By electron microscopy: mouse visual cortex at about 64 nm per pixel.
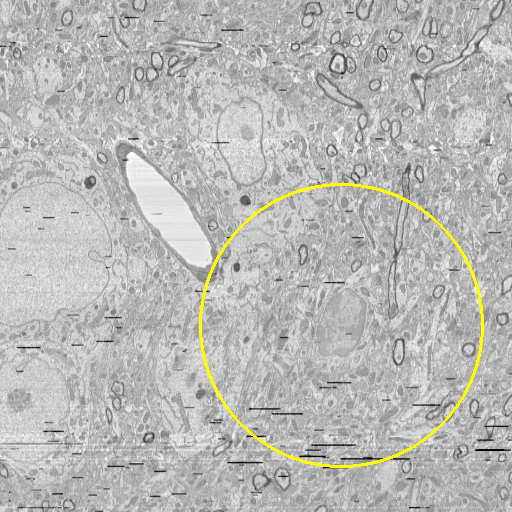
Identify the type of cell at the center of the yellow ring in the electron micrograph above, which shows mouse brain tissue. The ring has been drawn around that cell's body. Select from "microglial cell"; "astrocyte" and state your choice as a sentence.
The yellow ring is centered on the body of a microglial cell.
